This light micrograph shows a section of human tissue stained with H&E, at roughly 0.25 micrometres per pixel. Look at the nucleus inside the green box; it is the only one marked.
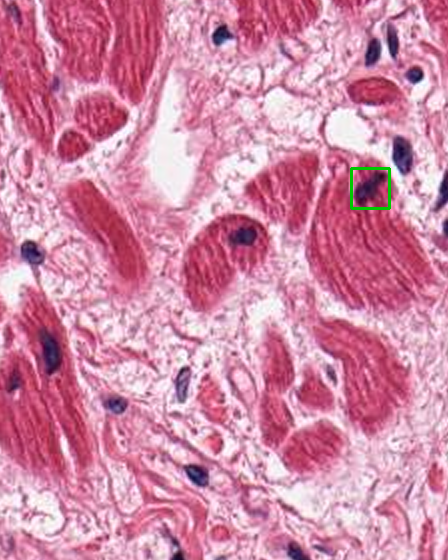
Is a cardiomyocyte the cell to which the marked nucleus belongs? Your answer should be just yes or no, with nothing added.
yes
